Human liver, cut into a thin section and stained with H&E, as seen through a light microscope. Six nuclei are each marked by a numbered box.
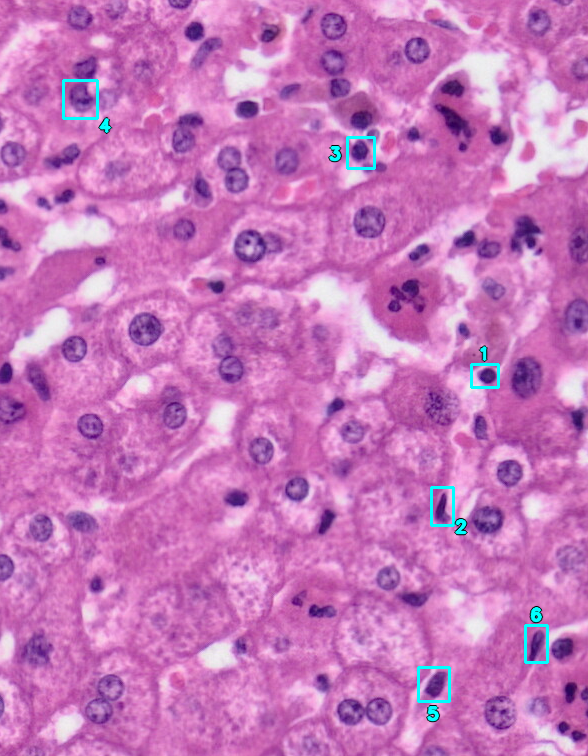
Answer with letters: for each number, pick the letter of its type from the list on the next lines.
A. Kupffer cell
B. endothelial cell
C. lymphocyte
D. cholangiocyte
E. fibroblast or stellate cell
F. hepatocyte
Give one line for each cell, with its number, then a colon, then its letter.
1: C
2: B
3: C
4: F
5: A
6: E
